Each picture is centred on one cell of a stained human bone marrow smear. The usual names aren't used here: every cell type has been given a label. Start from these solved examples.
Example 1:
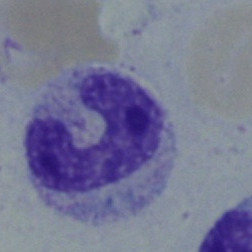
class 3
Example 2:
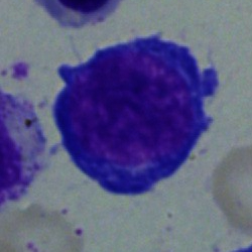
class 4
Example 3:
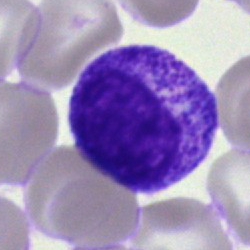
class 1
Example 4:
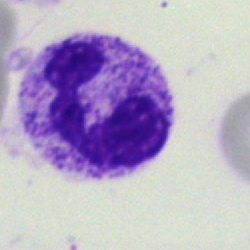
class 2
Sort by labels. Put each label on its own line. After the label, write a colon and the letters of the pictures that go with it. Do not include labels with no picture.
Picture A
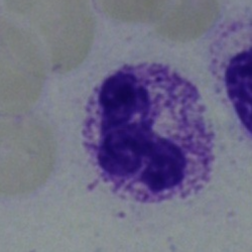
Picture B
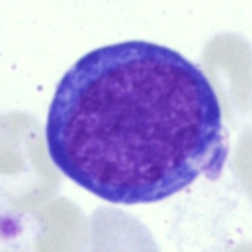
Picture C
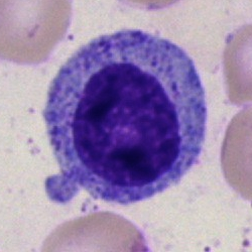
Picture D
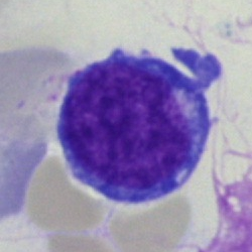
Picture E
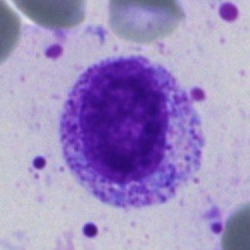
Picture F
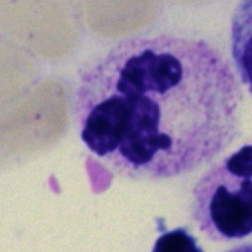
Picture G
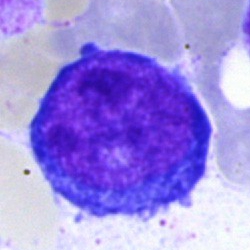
class 4: B, D, G
class 1: C, E
class 2: A, F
